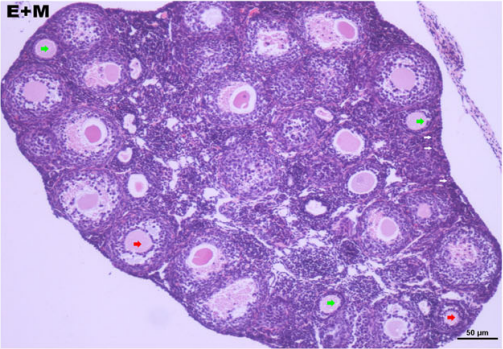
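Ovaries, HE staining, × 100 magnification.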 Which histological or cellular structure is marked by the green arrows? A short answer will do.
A: primary follicles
